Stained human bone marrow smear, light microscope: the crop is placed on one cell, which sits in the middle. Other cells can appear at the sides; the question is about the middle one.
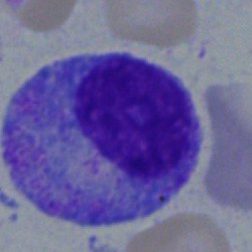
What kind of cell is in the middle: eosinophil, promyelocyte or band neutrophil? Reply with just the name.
promyelocyte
